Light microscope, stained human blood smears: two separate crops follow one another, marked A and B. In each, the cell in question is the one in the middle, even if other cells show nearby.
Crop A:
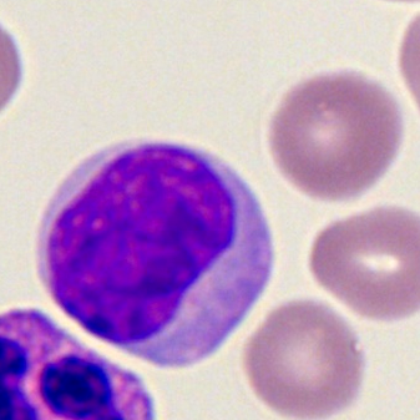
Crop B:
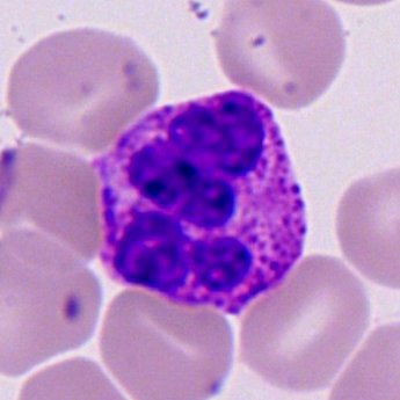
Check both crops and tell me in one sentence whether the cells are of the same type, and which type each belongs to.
No, the assignment should read crop A, a lymphocyte; crop B, a basophil.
